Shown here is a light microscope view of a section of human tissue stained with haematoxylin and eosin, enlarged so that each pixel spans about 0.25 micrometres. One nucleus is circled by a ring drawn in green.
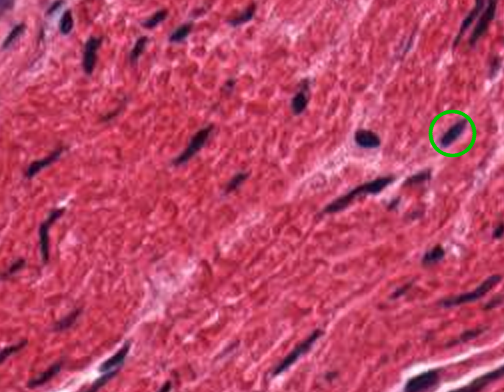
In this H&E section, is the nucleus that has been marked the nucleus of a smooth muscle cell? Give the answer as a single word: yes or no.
yes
